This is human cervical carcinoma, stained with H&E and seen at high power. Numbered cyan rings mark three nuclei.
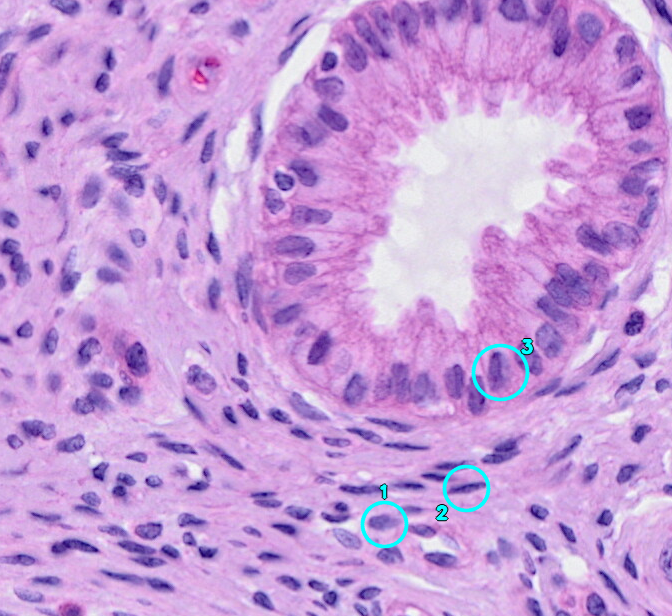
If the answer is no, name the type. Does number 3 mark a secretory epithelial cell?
Yes.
